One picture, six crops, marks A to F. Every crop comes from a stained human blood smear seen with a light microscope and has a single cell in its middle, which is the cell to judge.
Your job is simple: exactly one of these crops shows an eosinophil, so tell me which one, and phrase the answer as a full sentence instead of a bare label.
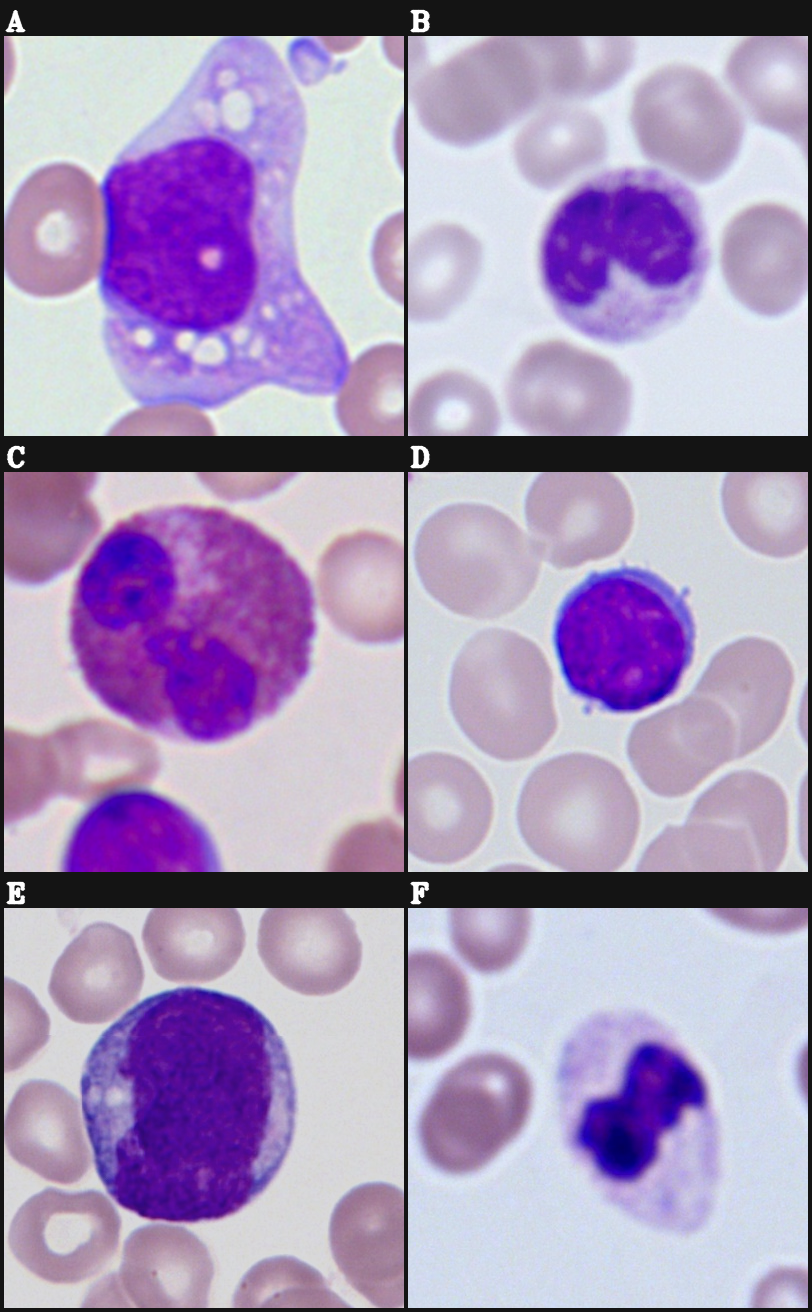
The sole crop showing an eosinophil is crop C.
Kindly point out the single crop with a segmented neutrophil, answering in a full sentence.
The sole crop showing a segmented neutrophil is crop F.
